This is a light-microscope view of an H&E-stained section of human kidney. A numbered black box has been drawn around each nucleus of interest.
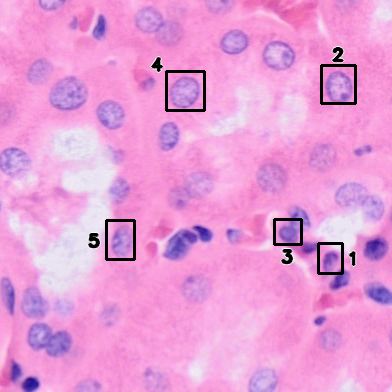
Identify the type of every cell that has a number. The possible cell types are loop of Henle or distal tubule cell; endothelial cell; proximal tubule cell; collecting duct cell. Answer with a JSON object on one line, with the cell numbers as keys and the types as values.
{"1": "collecting duct cell", "2": "proximal tubule cell", "3": "collecting duct cell", "4": "proximal tubule cell", "5": "loop of Henle or distal tubule cell"}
